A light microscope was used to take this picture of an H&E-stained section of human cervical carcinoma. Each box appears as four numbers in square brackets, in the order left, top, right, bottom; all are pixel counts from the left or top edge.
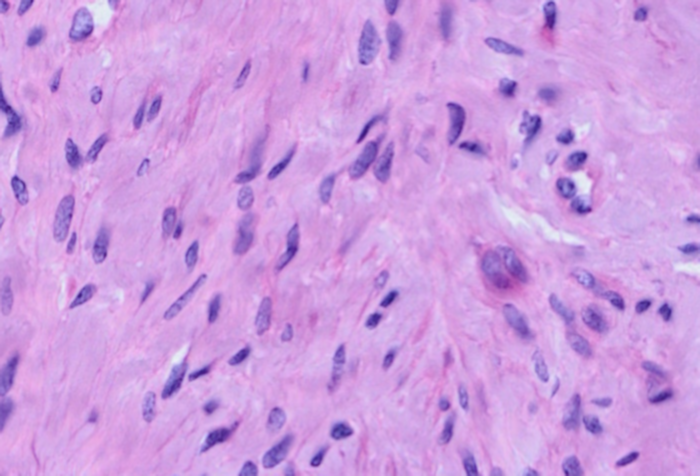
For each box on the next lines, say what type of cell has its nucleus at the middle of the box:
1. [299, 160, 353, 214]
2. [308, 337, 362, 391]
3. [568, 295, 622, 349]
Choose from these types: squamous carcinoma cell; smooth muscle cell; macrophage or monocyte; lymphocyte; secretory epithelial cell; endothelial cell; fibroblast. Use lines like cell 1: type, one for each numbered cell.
cell 1: fibroblast
cell 2: fibroblast
cell 3: smooth muscle cell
